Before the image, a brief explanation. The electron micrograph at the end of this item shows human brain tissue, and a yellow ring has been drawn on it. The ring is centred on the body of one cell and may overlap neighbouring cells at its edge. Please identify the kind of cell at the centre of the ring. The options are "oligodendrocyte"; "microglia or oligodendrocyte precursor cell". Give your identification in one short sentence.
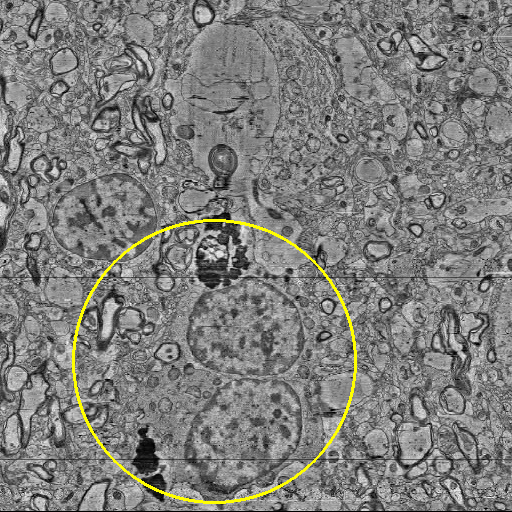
The ring has been placed around an oligodendrocyte.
